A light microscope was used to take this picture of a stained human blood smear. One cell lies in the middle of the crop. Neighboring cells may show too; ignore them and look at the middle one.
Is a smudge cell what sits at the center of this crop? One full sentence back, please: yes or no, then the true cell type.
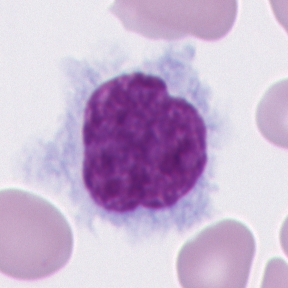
No, the middle cell is not a smudge cell, it being a hairy cell.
